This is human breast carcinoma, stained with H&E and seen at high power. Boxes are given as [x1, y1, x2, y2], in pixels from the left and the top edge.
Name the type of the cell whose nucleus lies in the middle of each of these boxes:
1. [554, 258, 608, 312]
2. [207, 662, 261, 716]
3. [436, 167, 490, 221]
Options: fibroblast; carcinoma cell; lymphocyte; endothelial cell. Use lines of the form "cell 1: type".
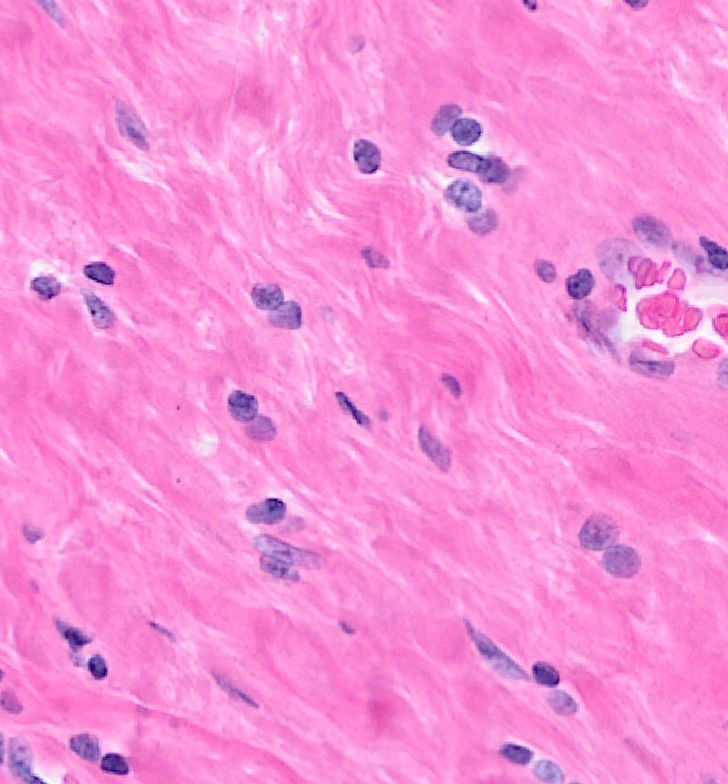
cell 1: lymphocyte
cell 2: fibroblast
cell 3: carcinoma cell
